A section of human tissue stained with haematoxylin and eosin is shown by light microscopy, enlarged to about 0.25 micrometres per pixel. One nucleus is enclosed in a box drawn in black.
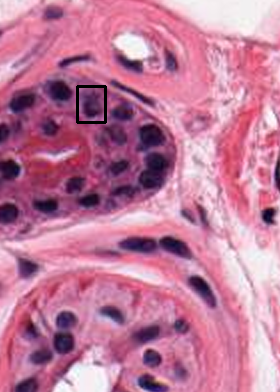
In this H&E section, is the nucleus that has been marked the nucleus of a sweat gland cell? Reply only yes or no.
yes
